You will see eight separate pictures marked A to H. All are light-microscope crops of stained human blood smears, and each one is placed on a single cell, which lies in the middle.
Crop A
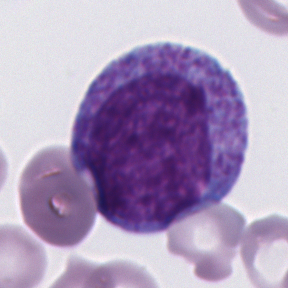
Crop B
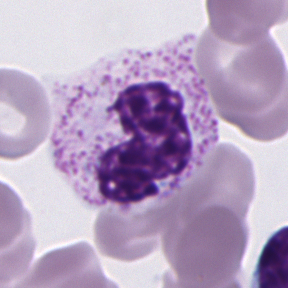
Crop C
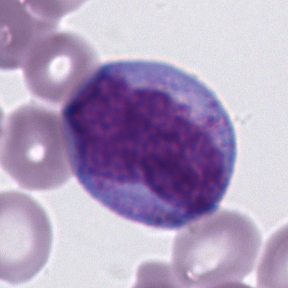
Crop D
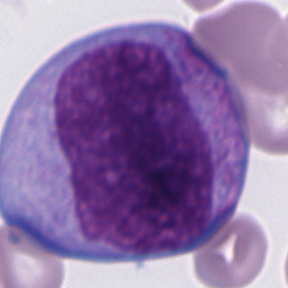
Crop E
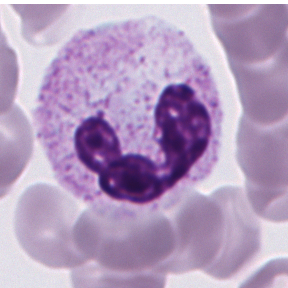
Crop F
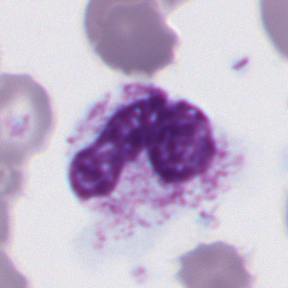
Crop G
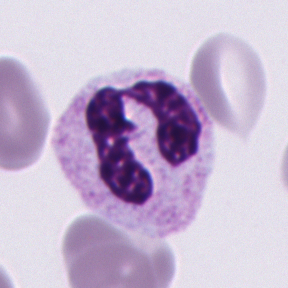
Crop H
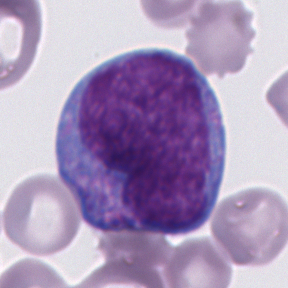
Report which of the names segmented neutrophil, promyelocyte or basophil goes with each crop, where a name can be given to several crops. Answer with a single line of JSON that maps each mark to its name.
{"A": "promyelocyte", "B": "segmented neutrophil", "C": "promyelocyte", "D": "promyelocyte", "E": "segmented neutrophil", "F": "segmented neutrophil", "G": "segmented neutrophil", "H": "promyelocyte"}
